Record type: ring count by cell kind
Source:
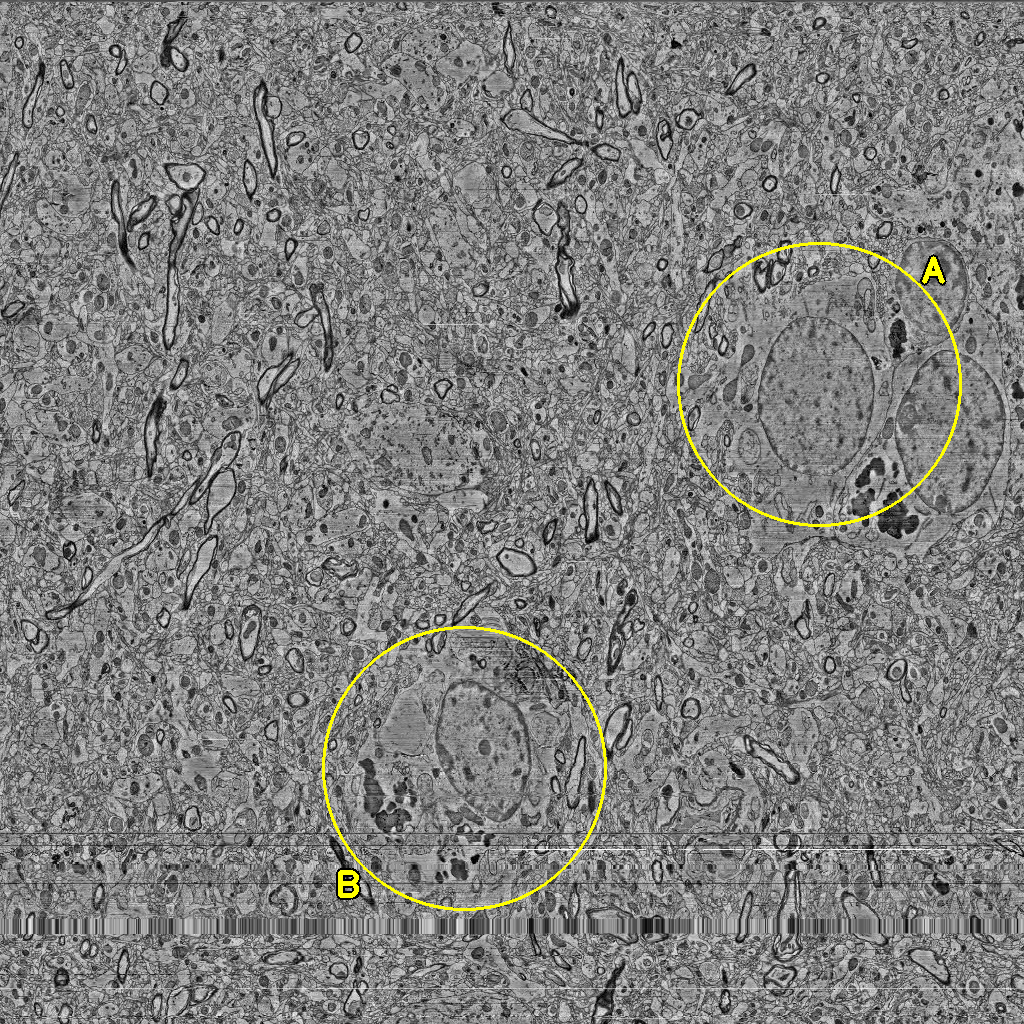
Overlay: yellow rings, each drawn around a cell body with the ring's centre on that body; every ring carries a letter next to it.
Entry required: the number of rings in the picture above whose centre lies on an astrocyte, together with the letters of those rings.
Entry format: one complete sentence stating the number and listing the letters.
As for the rings with the letters A and B, there are two, each centred on an astrocyte.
